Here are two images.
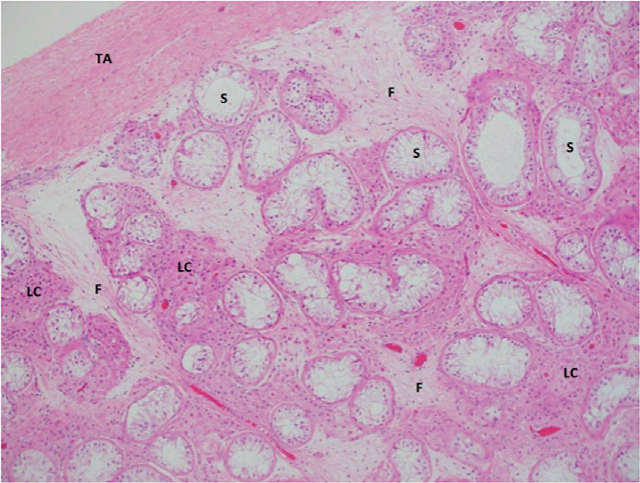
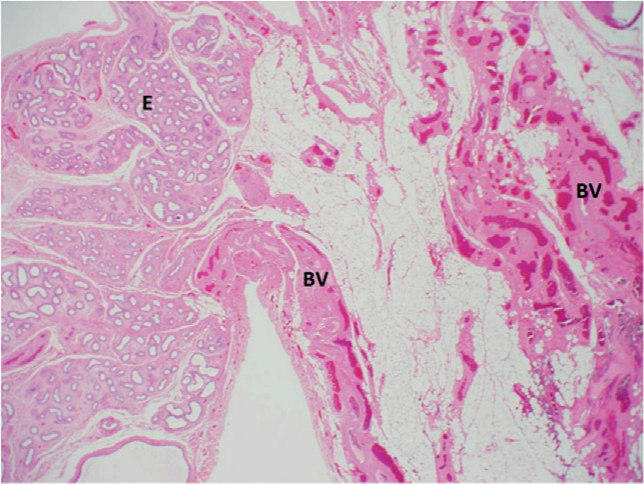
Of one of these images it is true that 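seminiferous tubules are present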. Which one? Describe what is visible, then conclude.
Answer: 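First image: many round tubules lined by a single cell layer fill the field. Second image: only small packed ducts, loose pale tissue and blood vessels, no seminiferous tubules.
Conclusion: the first image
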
